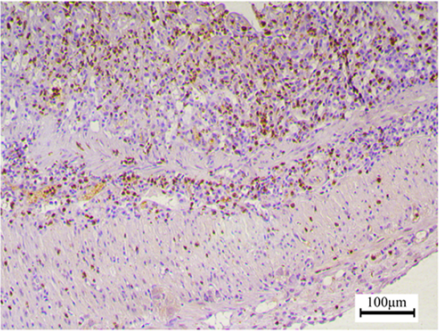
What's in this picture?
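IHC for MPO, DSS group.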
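The upper zone lacks the regular rows of crypts and is instead filled with a dense mass of small cells with blue nuclei, among which the brown-stained cells are crowded. A second band of brown-stained cells runs through the deeper tissue above the muscle layer. The muscle layer below is made of elongated cells with spindle-shaped nuclei, and brown-stained cells are also scattered within it.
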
